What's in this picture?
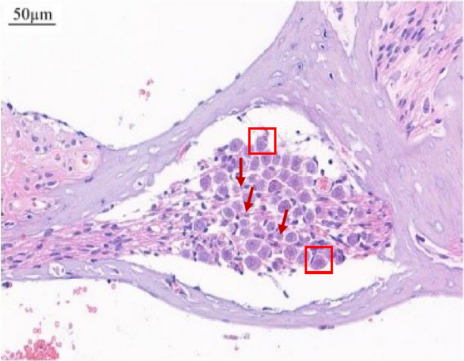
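This is a section of cochlear tissue showing a cluster of large round cells within a canal in purple-pink bone. The cells are crowded together and several appear enlarged, with nuclei that are pale or poorly outlined against the purple cytoplasm. A wide clear space separates much of the cluster from the bony wall of the canal. At one side the cells continue into pink fibre bundles with small elongated nuclei. Red blood cells lie loose outside the bone at the lower left corner.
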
